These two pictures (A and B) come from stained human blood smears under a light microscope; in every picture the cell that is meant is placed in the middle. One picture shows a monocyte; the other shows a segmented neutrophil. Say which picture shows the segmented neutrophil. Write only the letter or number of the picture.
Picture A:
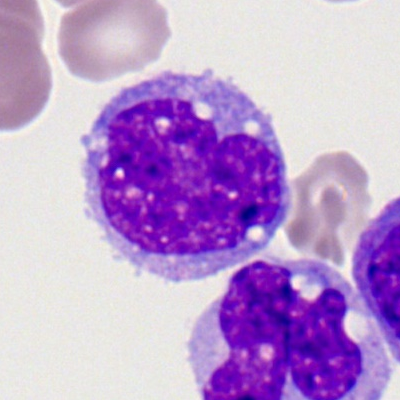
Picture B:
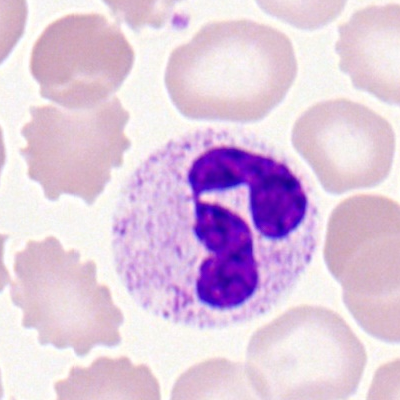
B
